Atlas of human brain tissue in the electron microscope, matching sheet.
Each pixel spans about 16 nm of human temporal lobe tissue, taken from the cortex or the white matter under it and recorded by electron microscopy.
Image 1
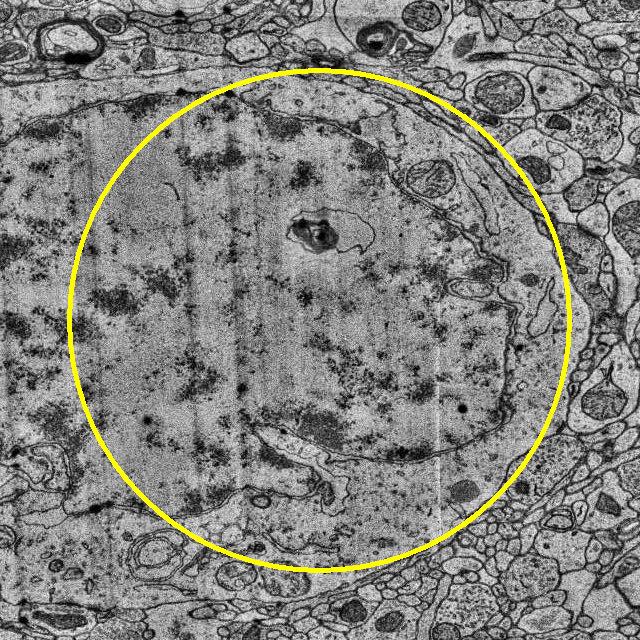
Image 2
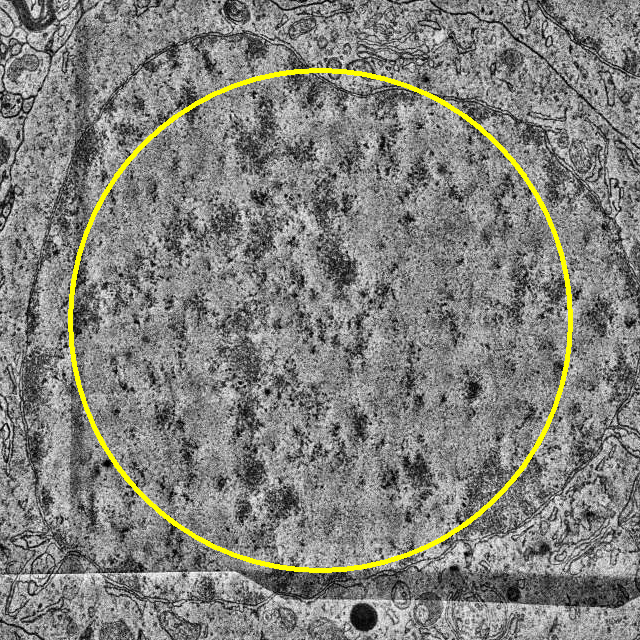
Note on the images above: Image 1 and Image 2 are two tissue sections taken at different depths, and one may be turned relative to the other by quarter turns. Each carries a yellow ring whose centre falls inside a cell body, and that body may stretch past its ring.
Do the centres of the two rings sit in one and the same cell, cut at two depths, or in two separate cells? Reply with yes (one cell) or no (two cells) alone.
no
